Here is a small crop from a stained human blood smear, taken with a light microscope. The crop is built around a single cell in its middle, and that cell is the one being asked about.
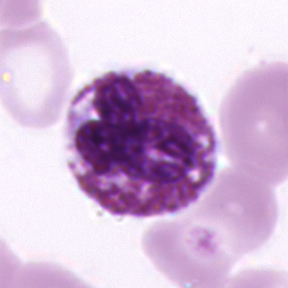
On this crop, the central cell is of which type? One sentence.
The middle of this crop is occupied by an eosinophil.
